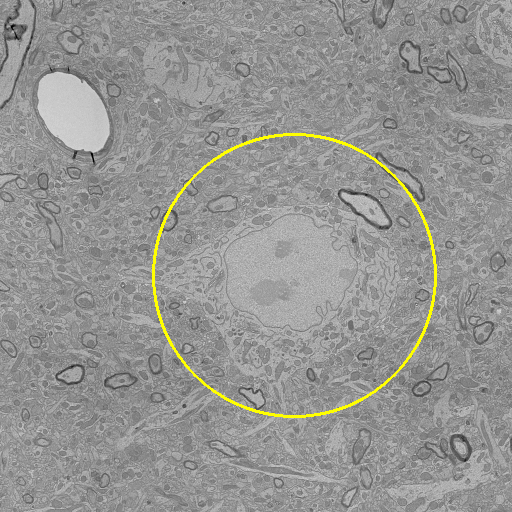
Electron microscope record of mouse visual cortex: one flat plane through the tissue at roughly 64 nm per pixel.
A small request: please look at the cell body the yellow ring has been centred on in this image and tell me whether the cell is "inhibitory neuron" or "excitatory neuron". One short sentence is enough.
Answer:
The cell marked by the ring is an inhibitory neuron.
